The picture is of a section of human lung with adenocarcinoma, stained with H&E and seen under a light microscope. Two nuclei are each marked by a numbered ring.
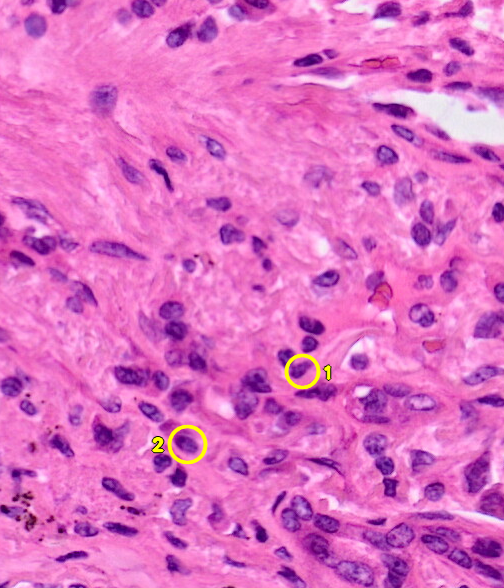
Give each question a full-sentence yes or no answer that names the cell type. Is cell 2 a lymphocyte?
No, cell 2, which is a plasma cell, is not a lymphocyte.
